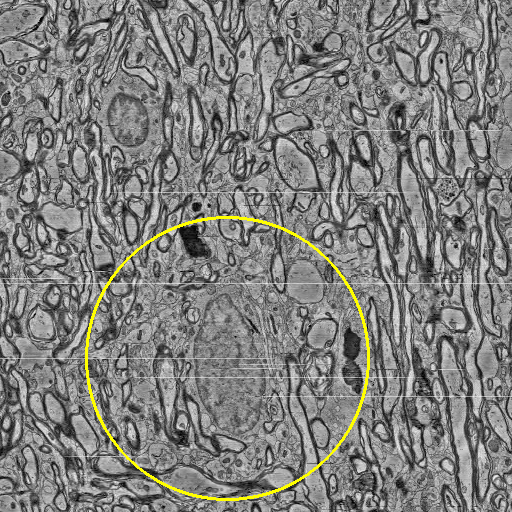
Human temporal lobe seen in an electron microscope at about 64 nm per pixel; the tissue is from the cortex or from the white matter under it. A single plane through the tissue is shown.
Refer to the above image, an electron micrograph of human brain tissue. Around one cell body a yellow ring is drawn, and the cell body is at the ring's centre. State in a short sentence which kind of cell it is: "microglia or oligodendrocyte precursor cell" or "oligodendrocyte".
The centre of the ring falls on an oligodendrocyte.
